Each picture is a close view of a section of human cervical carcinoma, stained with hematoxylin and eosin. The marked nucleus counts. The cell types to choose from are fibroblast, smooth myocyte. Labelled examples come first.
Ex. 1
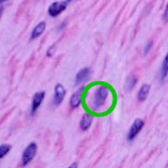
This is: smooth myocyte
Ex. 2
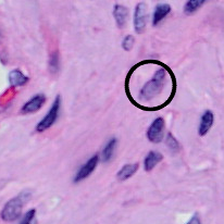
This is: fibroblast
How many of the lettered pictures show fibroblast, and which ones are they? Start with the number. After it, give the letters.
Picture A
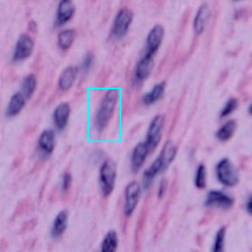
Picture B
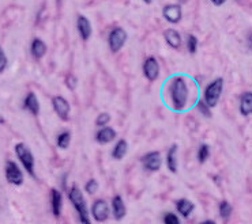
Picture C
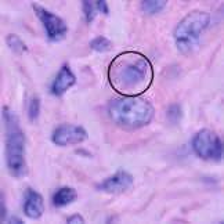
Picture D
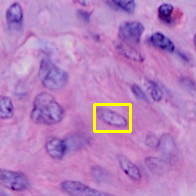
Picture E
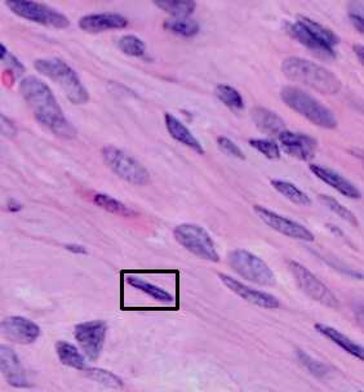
1, namely E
